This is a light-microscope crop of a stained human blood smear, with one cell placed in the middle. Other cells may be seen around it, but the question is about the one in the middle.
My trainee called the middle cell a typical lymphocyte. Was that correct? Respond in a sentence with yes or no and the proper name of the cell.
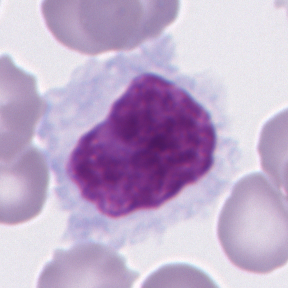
No, the central cell qualifies as a hairy cell rather than as a typical lymphocyte.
